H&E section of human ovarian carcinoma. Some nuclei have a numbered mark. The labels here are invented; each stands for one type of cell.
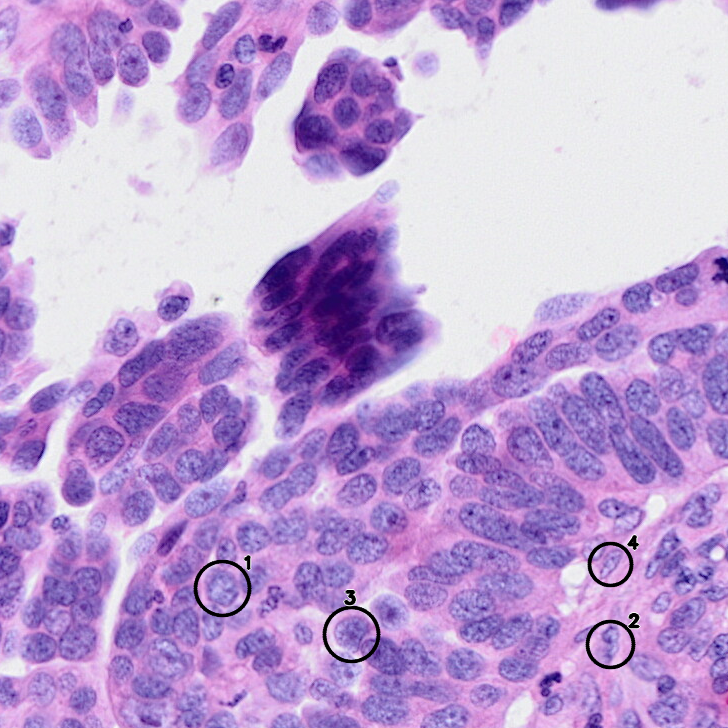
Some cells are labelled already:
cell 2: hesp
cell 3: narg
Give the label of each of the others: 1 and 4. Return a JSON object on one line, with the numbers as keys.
{"1": "narg", "4": "hesp"}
